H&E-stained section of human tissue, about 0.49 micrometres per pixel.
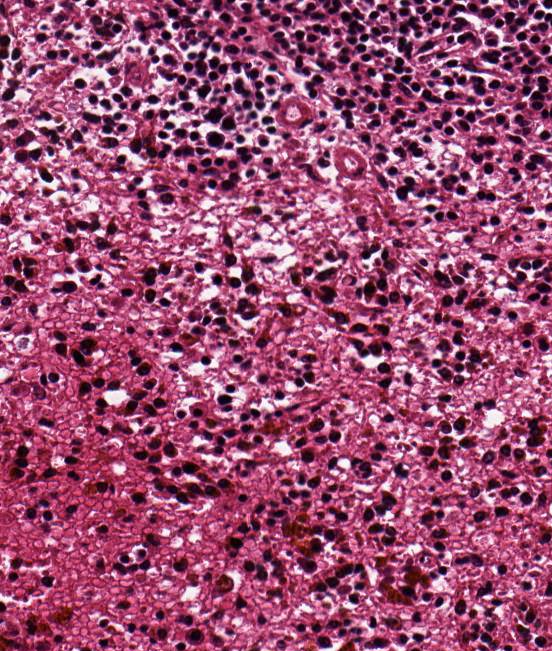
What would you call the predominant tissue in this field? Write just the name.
red pulp of the spleen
